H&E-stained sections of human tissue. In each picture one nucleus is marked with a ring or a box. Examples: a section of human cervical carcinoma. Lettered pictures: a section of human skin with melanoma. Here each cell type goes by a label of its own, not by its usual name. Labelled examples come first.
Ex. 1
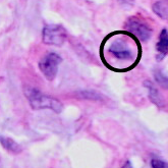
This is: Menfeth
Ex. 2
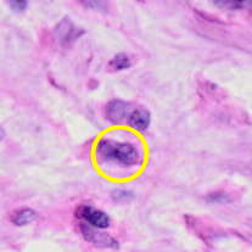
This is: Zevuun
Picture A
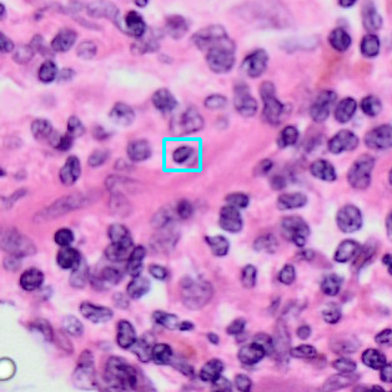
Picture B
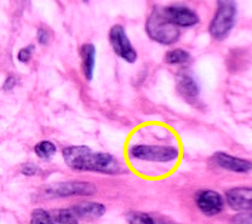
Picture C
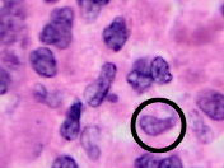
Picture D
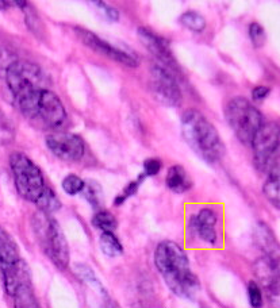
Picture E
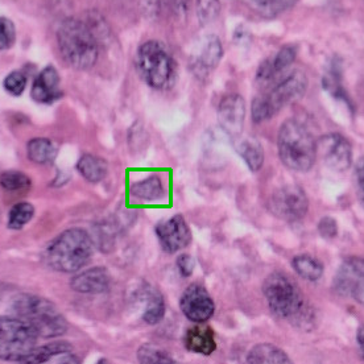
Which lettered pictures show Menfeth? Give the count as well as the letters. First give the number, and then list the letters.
1: A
